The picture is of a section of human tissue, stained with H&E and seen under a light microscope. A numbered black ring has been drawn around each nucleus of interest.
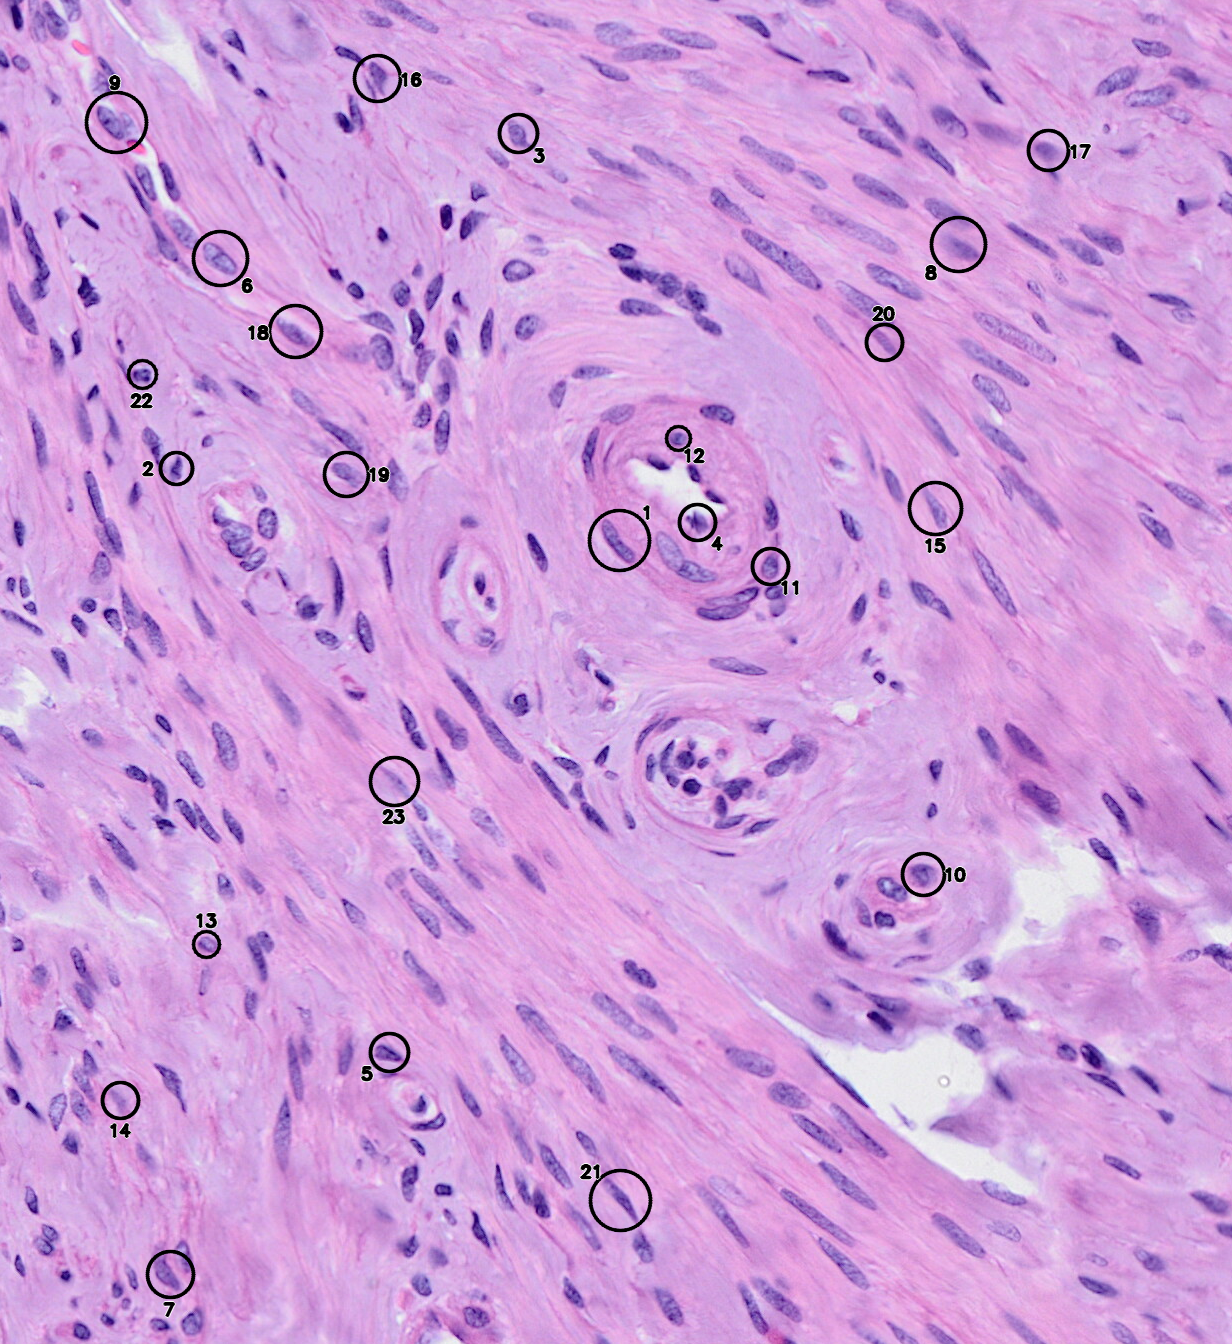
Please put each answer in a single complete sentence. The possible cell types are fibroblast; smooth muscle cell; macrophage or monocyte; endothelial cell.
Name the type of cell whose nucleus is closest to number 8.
The cell nearest to number 8 is a fibroblast.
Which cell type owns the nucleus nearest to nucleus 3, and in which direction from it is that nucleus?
It is a smooth muscle cell, whose nucleus lies below and to the left of nucleus 3.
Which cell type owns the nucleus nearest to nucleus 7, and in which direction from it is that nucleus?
The closest nucleus belongs to a smooth muscle cell and sits above and to the right of nucleus 7.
